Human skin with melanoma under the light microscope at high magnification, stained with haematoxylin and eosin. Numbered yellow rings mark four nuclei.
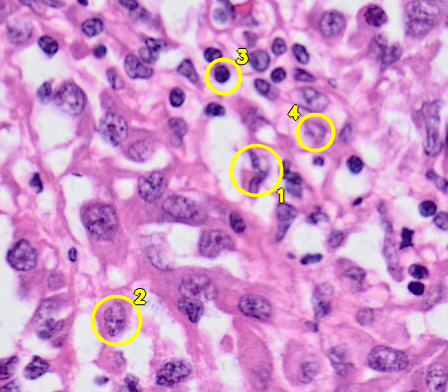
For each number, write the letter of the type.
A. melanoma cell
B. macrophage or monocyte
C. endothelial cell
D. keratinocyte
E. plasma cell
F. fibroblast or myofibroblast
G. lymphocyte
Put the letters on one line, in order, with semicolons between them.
F; A; G; C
